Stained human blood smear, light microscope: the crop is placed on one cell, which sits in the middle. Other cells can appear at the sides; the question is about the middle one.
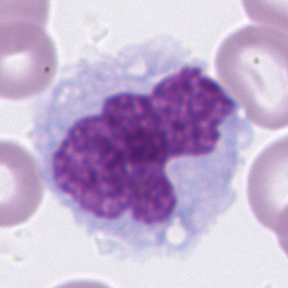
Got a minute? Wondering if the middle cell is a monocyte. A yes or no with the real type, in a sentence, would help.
Yes, the middle cell of the field is a monocyte.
